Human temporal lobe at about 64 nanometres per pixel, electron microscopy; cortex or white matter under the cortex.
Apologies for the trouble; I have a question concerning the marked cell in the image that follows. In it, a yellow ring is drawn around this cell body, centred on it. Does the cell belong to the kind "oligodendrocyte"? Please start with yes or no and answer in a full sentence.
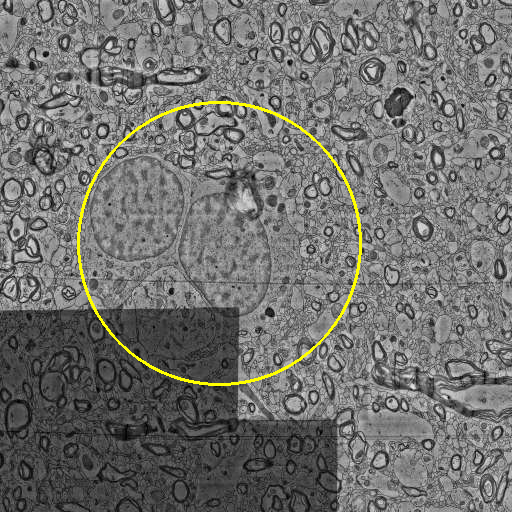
Yes, the cell at the centre of the ring in the picture is of that kind.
